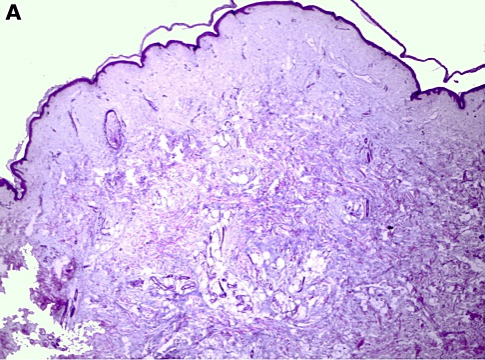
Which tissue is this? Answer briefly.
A: Preserved epidermis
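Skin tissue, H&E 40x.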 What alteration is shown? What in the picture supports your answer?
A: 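The dermis beneath the epidermis is occupied by pale, loose, bluish-lilac stroma. The stroma is sparsely cellular with open, wispy spaces. So: myxoid material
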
